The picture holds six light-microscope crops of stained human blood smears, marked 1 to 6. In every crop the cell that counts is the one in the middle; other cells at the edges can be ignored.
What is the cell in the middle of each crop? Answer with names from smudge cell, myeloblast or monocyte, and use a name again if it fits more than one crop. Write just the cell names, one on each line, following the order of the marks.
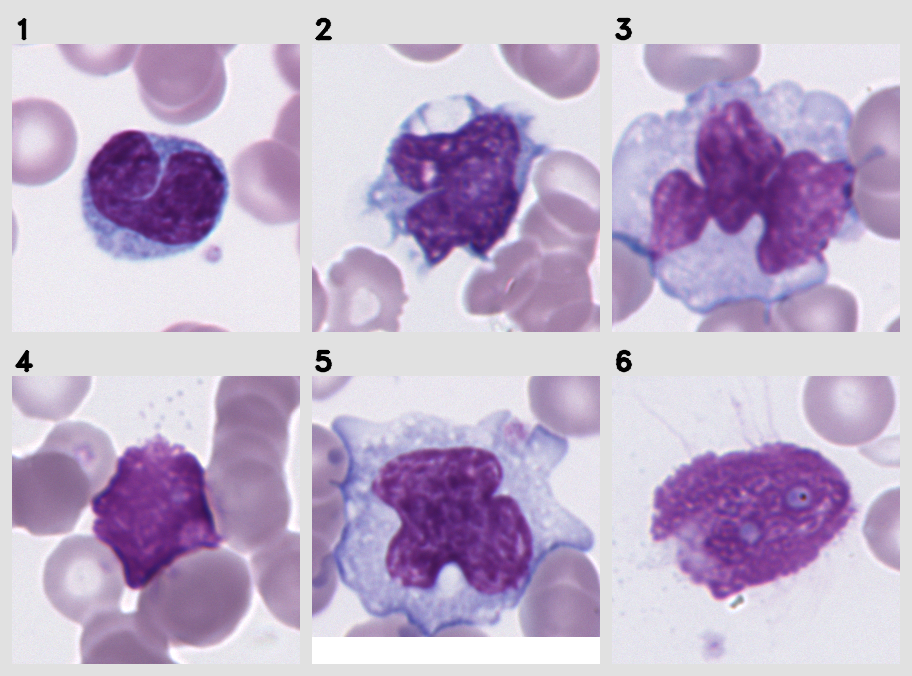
monocyte
monocyte
monocyte
smudge cell
monocyte
smudge cell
